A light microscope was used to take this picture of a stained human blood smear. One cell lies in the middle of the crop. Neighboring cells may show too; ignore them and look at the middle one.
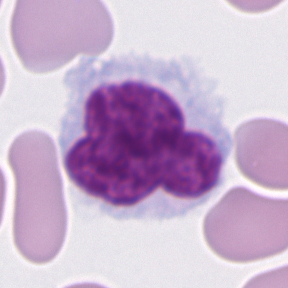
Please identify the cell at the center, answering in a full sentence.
The crop shows a hairy cell in its centre.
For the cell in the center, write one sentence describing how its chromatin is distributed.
The chromatin is fine, with no coarse clumping anywhere.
